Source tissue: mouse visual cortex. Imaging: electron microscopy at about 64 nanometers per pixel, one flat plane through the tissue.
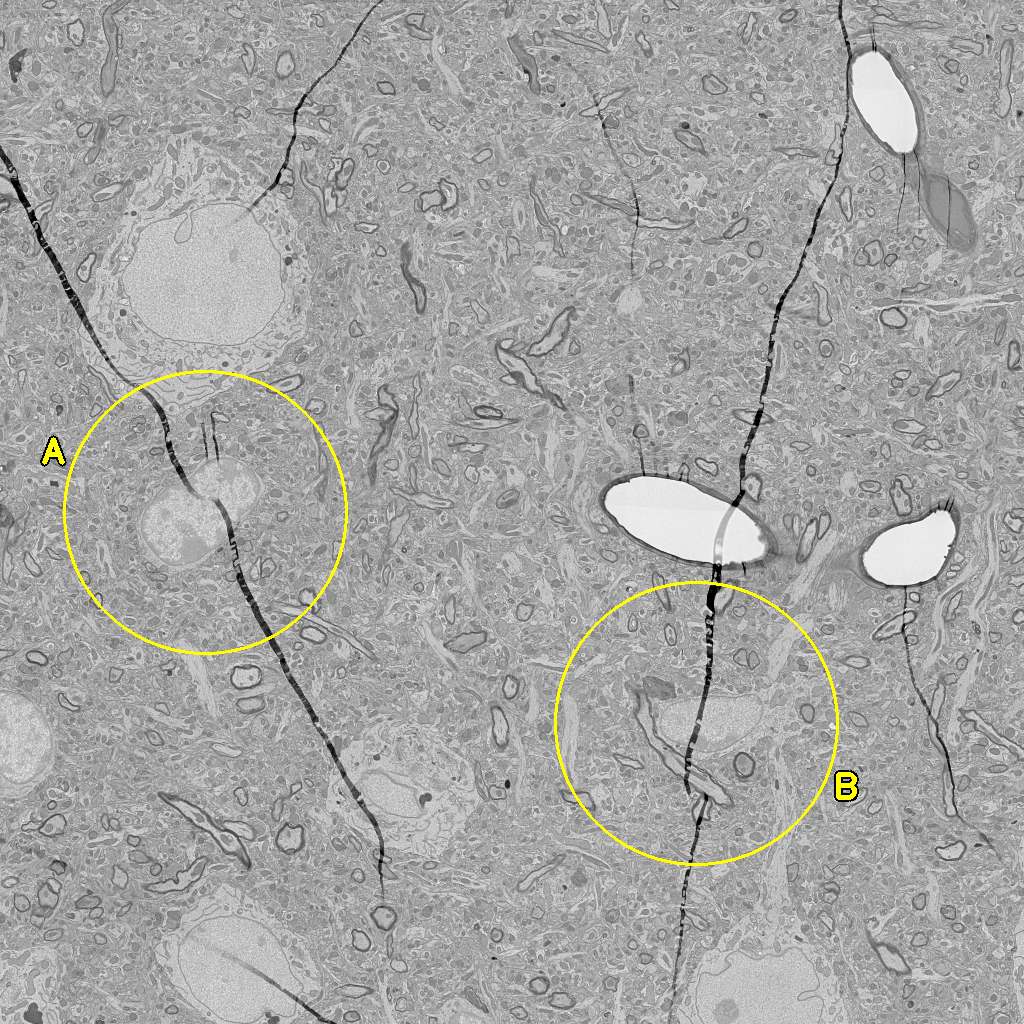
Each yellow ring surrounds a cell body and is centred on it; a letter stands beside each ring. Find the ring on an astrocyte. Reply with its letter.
B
